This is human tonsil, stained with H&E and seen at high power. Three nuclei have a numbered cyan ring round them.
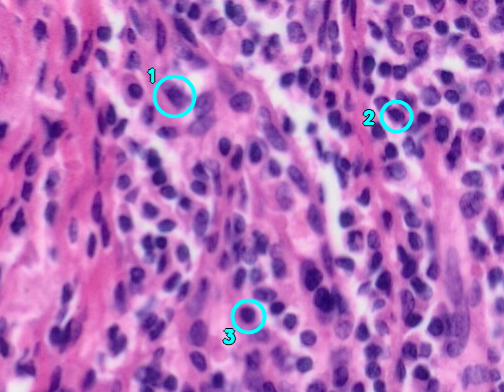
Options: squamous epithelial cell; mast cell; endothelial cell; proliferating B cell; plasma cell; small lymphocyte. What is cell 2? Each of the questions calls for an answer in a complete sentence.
The cell bearing label 2 corresponds to a small lymphocyte.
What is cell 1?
The cell indicated by marker 1 is an endothelial cell in this section.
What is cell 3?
Identified by the number 3, the cell is an endothelial cell.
